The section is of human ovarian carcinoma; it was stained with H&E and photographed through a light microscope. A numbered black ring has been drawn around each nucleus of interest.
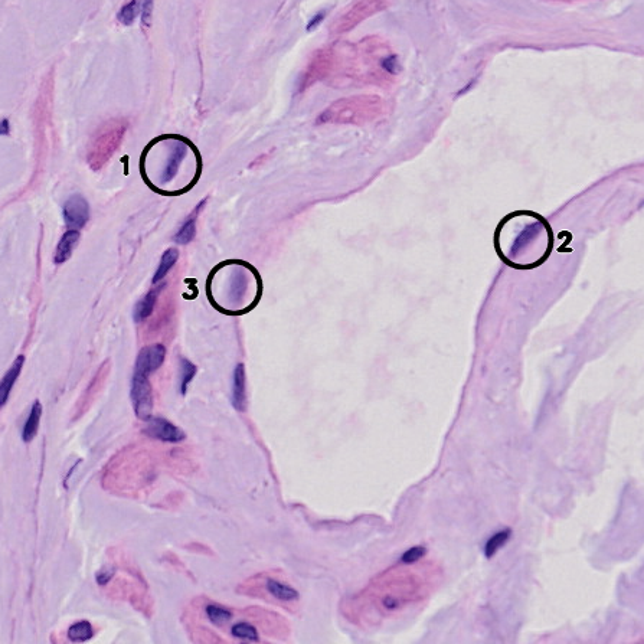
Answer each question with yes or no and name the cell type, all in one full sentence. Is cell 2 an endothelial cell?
Yes, the cell that is numbered 2 is an endothelial cell.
